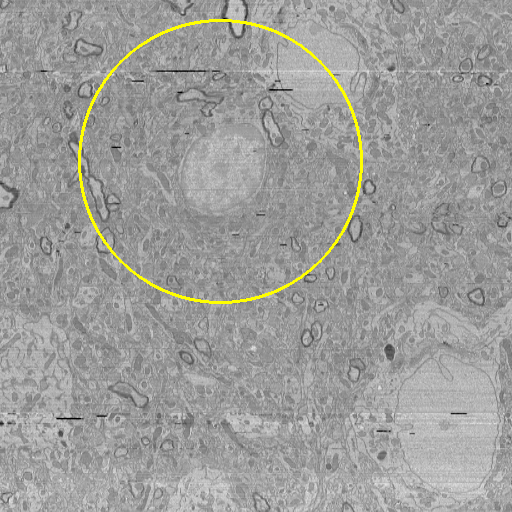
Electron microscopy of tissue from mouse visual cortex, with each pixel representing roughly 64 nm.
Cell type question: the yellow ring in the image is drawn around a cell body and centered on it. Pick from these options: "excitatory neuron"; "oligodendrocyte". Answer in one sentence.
The ringed cell at the center is an oligodendrocyte.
